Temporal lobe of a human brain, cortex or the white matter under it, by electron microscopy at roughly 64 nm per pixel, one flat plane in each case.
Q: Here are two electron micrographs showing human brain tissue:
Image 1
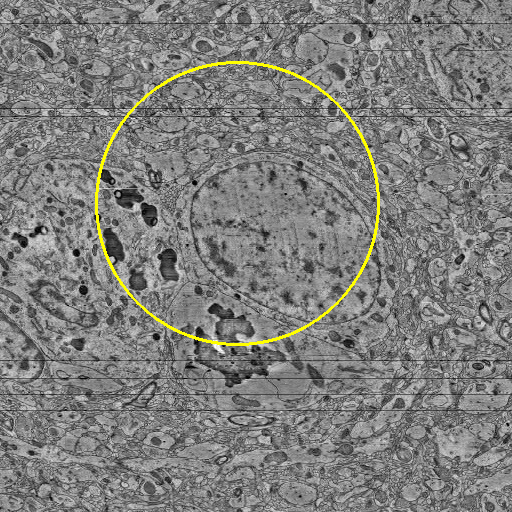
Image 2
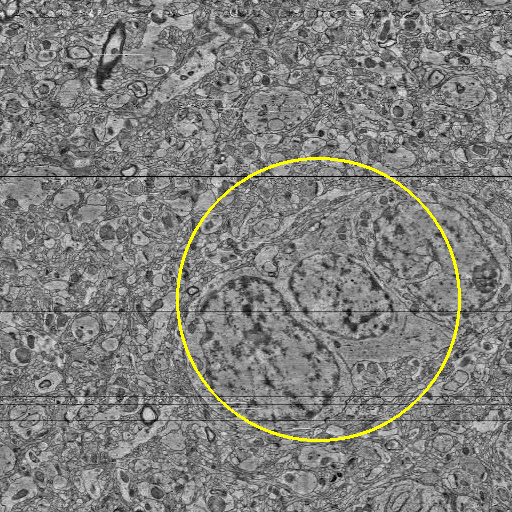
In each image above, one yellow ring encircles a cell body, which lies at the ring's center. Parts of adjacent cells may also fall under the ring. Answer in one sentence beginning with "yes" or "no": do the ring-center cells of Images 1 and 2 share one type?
No, in Images 1 and 2, the ring-center cells are of two types.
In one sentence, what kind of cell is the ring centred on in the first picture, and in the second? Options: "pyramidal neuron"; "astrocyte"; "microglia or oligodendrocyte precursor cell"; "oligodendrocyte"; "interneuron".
The cell at the centre of the second ring is a microglial cell or oligodendrocyte precursor cell; the first ring's cell is a pyramidal neuron.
